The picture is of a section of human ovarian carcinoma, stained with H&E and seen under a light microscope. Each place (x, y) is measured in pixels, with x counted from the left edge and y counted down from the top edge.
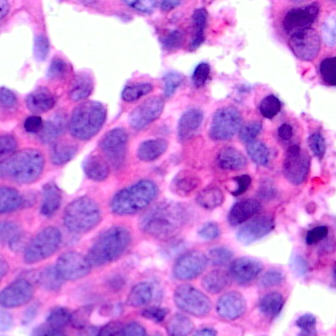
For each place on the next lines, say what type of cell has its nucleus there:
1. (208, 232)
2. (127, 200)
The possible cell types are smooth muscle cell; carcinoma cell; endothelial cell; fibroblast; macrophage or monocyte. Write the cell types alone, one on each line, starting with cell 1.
macrophage or monocyte
carcinoma cell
